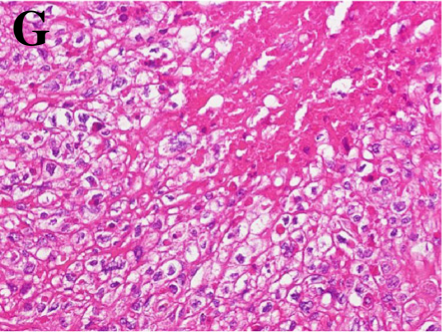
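The tumor is made of mononucleate epithelioid cells arranged in cohesive sheets. The cytoplasm is largely clear and pale, and cell borders are distinct. At the upper right, the sheets give way to a pink, eosinophilic area with few nuclei.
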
